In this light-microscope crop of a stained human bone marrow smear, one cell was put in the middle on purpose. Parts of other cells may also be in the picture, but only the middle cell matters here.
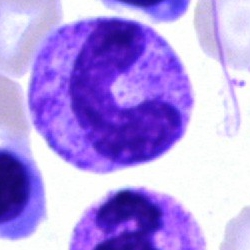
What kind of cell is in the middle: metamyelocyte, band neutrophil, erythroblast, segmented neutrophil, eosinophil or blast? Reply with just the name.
band neutrophil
